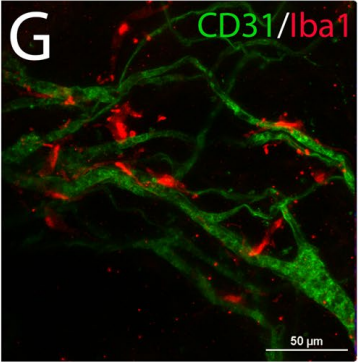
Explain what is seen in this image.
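Green capillaries run as several long, branching and partly interconnected tubes across the field. Small red macrophage-like cells with irregular, elongated bodies lie scattered among them. Many of the red cells sit directly on or alongside the green vessel walls, closely associated with the capillaries.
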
